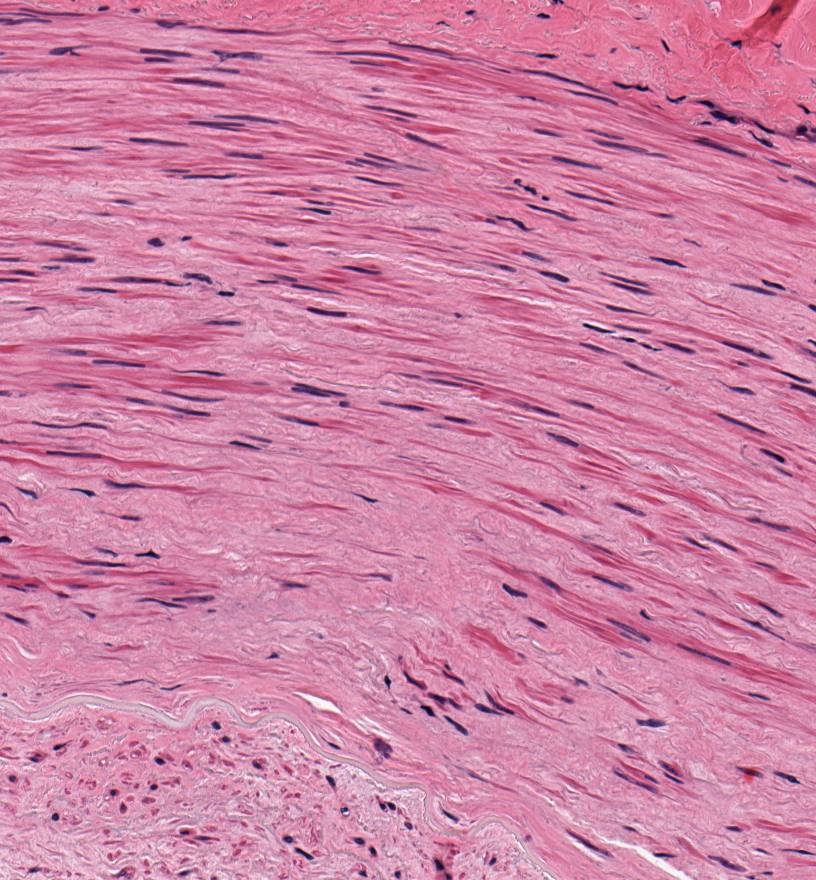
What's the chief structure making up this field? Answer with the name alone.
tunica media of an artery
